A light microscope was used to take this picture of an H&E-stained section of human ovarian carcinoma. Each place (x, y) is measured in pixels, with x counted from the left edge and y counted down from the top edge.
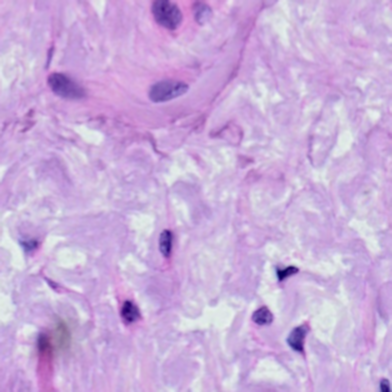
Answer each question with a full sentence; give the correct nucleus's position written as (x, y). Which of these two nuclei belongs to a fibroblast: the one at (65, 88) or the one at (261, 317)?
Lying within a fibroblast is the nucleus at (65, 88).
